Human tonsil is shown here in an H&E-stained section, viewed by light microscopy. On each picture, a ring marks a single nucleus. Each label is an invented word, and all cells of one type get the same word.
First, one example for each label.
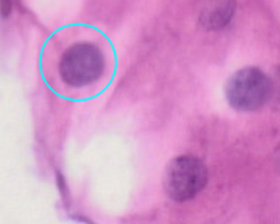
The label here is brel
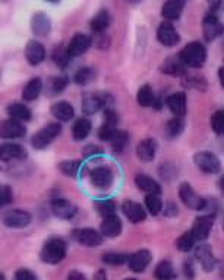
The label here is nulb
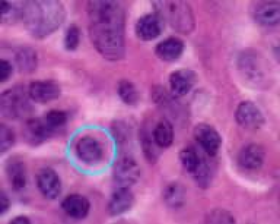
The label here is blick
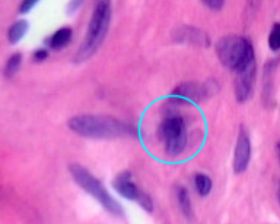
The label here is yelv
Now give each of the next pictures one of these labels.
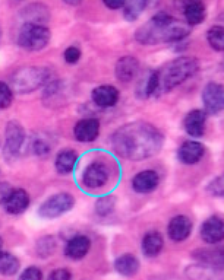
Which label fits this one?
blick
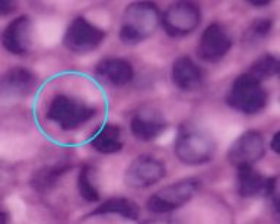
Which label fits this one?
brel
